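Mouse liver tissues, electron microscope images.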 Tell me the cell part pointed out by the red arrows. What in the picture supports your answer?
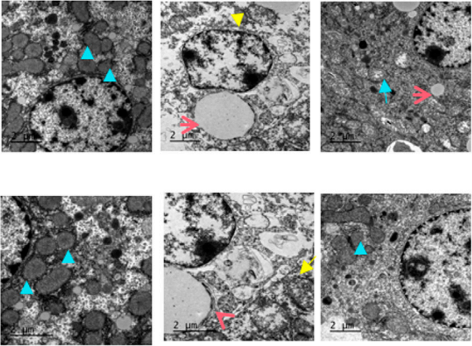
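Lipid droplets. The red arrows point to large, round, homogeneous pale-grey bodies in the cytoplasm.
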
